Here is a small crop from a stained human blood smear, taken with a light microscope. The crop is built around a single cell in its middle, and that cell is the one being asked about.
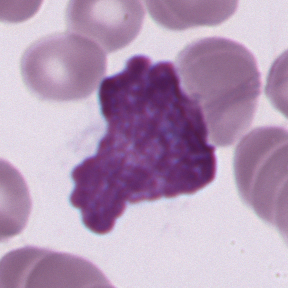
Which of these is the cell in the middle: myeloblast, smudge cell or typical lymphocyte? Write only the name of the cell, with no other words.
smudge cell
